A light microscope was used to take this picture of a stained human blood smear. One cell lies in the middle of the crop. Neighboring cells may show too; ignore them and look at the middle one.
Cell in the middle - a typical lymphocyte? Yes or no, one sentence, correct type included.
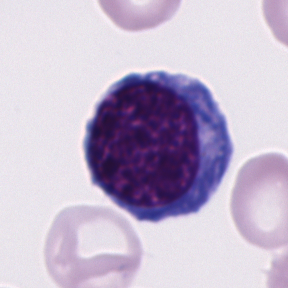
No, the central cell is classed as a normoblast and not as a typical lymphocyte.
